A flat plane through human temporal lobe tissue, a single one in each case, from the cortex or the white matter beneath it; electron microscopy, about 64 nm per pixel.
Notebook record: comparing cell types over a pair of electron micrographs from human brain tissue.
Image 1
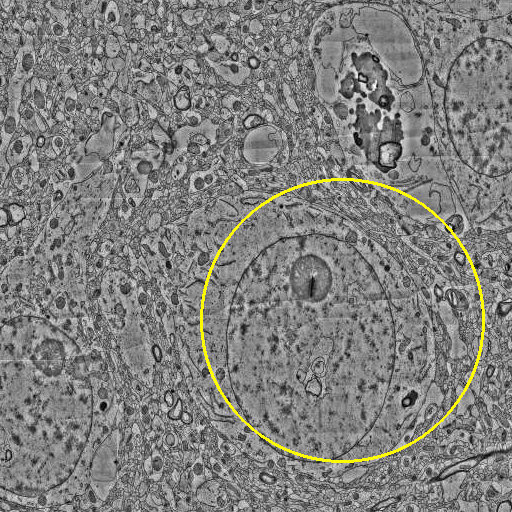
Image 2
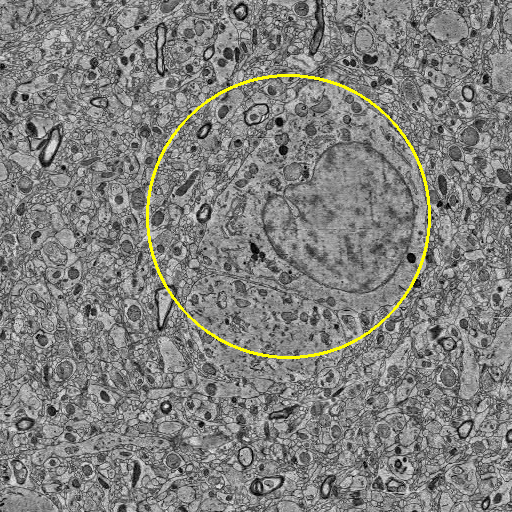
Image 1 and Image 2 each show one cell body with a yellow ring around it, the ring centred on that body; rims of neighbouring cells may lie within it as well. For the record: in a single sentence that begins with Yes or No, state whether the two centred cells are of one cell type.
No, two cell types are found among the centred cells of Image 1 and Image 2.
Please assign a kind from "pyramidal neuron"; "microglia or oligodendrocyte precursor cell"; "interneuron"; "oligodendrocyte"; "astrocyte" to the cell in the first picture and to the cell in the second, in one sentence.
In the first picture we have a pyramidal neuron, and in the second, an interneuron.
